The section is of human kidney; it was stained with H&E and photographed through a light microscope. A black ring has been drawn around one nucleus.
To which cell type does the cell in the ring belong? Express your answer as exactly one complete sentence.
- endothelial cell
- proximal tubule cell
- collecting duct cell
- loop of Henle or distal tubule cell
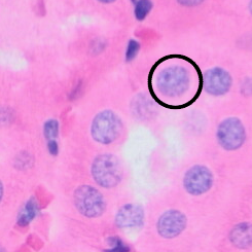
Cytologically, the cell in the ring is to be regarded as a loop of Henle or distal tubule cell.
